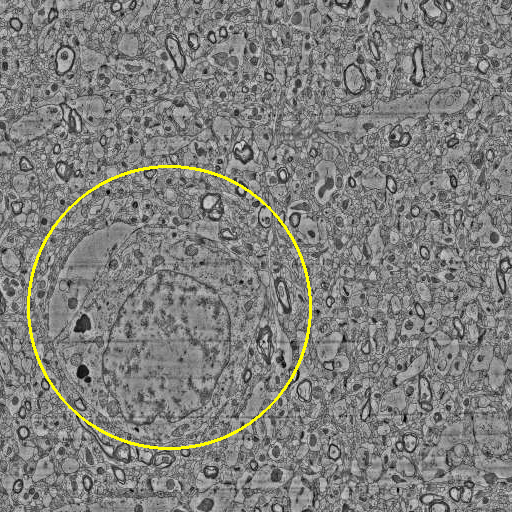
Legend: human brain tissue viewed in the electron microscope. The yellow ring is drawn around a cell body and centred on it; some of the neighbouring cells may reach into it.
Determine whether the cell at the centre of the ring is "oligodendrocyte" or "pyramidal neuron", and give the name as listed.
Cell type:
pyramidal neuron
